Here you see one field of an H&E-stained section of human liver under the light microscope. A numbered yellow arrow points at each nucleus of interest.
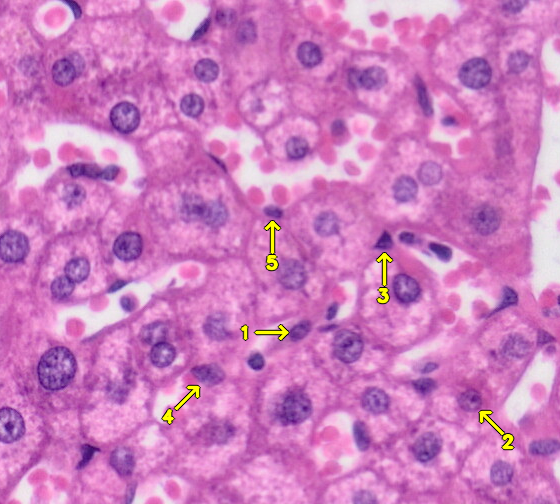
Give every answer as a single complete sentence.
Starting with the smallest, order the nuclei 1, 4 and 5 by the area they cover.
By area, going up from the smallest, they rank 5, 1, 4.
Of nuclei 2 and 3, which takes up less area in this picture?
With nucleus 2 about 2 times its size, nucleus 3 is the smaller of the two.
